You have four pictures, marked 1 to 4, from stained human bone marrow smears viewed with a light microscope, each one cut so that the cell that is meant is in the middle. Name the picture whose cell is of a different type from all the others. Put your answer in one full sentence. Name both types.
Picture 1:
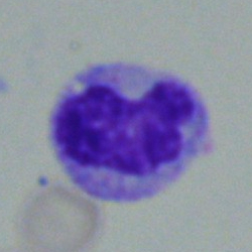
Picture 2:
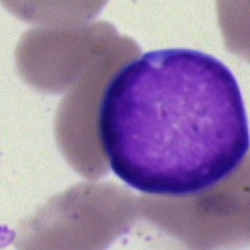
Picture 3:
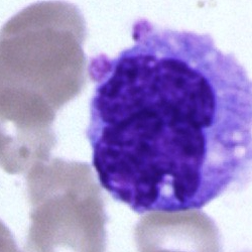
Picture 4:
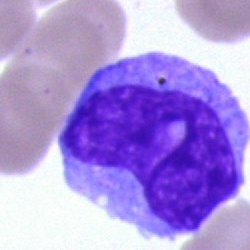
The different one is picture 2; it shows a blast, whereas all the others show monocytes.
